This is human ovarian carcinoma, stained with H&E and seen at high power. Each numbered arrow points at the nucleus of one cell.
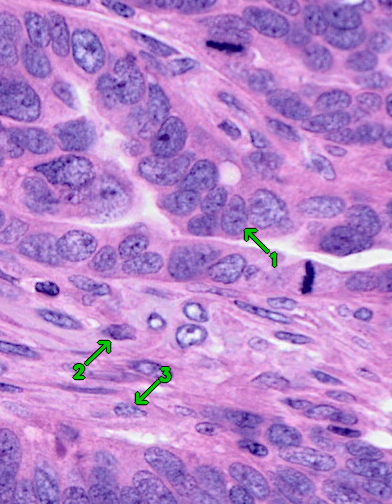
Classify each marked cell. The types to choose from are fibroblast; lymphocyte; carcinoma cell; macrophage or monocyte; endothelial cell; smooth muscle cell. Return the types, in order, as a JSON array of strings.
["carcinoma cell", "fibroblast", "fibroblast"]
